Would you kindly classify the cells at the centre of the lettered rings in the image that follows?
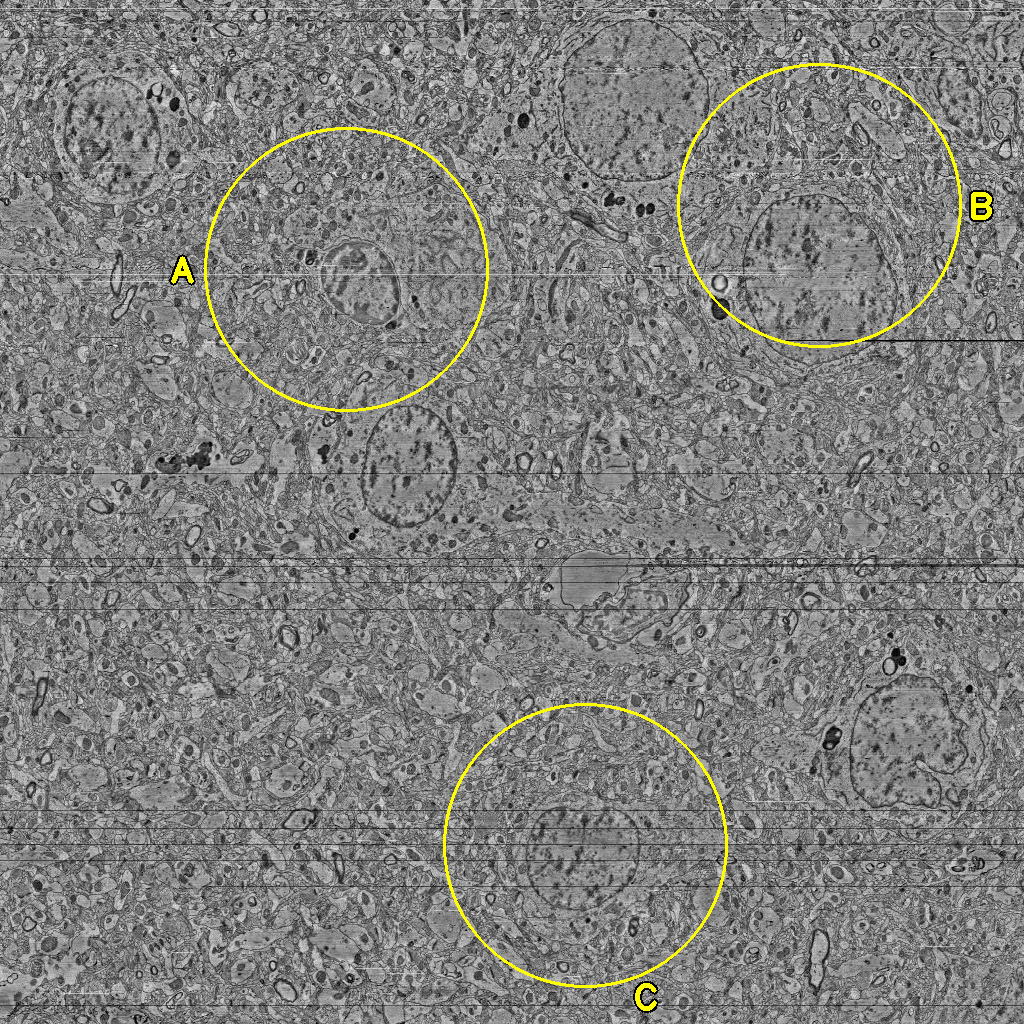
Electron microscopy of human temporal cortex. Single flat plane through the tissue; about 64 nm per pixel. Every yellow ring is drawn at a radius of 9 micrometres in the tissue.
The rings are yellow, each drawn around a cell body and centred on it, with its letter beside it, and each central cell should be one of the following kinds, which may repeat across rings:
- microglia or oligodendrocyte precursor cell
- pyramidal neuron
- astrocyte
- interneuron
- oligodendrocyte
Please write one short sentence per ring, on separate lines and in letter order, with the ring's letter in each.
The kind of cell at the centre of ring A is a microglial cell or oligodendrocyte precursor cell.
The kind of cell at the centre of ring B is a pyramidal neuron.
The kind of cell at the centre of ring C is a pyramidal neuron.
